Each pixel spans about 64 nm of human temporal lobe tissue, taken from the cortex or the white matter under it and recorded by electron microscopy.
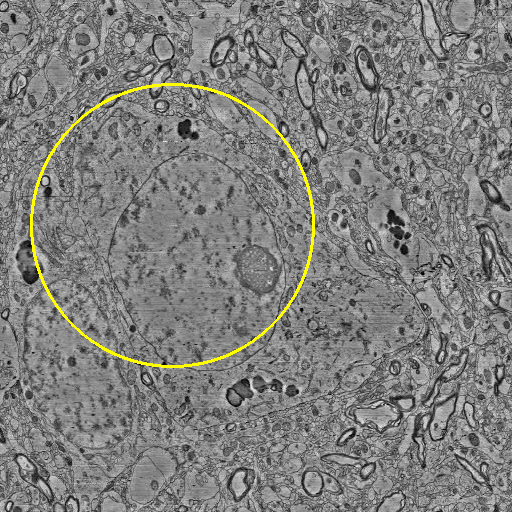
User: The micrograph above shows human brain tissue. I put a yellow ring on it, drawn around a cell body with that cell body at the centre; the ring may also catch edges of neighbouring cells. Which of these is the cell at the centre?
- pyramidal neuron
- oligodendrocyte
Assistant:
pyramidal neuron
